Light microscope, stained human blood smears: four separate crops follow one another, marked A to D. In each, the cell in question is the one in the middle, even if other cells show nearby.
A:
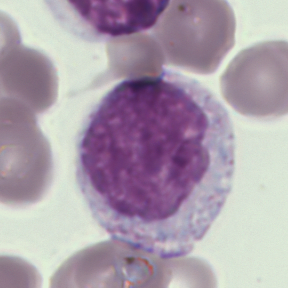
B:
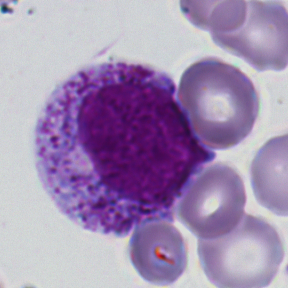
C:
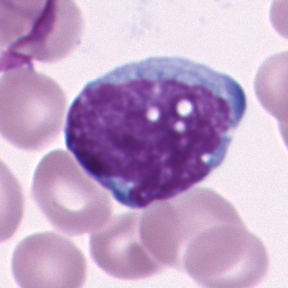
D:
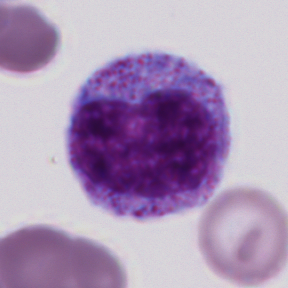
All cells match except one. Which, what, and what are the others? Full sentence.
The one crop not showing myelocytes is crop C, which shows a monocyte.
